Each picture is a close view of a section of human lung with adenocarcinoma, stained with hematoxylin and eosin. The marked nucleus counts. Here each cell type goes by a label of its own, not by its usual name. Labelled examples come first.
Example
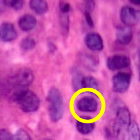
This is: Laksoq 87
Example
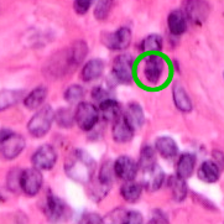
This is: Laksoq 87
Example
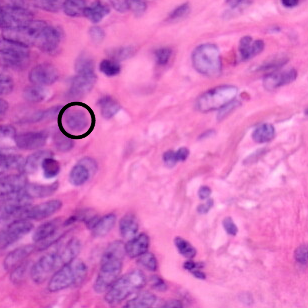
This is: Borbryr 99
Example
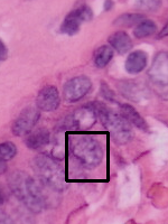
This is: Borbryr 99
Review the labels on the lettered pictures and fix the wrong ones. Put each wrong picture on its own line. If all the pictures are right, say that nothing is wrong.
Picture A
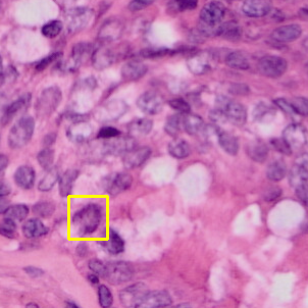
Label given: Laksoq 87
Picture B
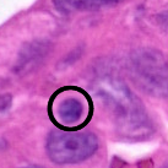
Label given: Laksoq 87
A: not Laksoq 87 but Borbryr 99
